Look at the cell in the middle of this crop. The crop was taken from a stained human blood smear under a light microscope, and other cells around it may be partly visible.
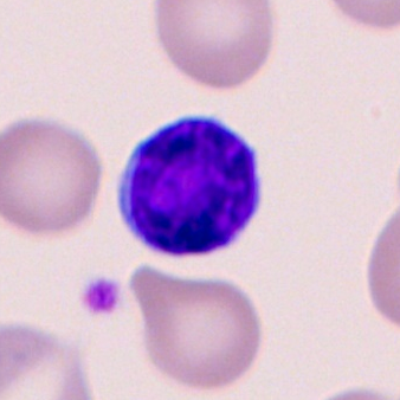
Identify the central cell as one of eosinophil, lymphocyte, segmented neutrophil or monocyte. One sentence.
The cell around which this crop is centred is a lymphocyte.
